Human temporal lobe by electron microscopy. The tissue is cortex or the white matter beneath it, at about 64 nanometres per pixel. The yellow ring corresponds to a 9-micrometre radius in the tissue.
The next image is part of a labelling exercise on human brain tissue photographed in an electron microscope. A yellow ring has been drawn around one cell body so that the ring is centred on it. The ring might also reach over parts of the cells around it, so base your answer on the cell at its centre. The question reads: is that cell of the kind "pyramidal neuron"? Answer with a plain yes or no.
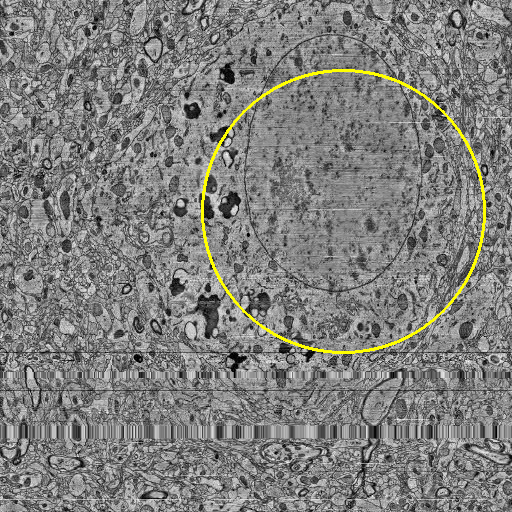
yes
